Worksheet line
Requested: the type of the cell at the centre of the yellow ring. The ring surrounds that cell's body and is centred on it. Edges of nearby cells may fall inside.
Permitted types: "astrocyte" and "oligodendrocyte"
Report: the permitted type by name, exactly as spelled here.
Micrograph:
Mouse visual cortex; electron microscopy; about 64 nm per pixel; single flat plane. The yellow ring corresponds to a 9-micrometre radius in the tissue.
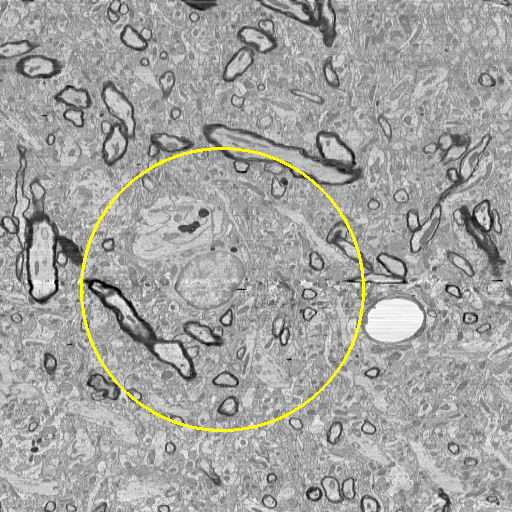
oligodendrocyte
